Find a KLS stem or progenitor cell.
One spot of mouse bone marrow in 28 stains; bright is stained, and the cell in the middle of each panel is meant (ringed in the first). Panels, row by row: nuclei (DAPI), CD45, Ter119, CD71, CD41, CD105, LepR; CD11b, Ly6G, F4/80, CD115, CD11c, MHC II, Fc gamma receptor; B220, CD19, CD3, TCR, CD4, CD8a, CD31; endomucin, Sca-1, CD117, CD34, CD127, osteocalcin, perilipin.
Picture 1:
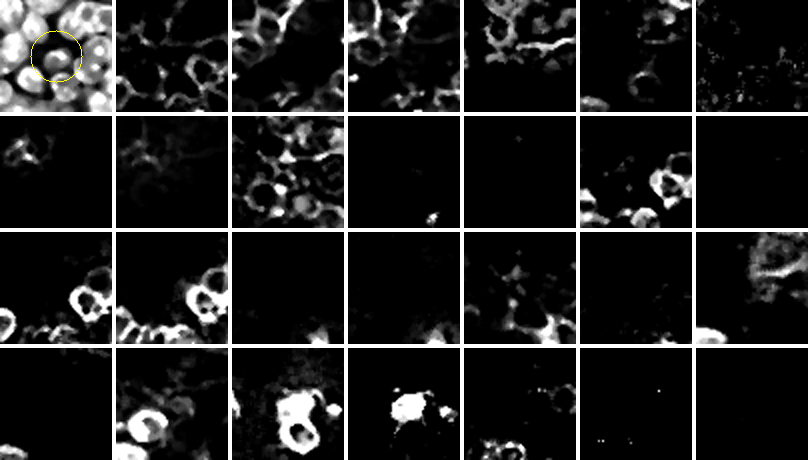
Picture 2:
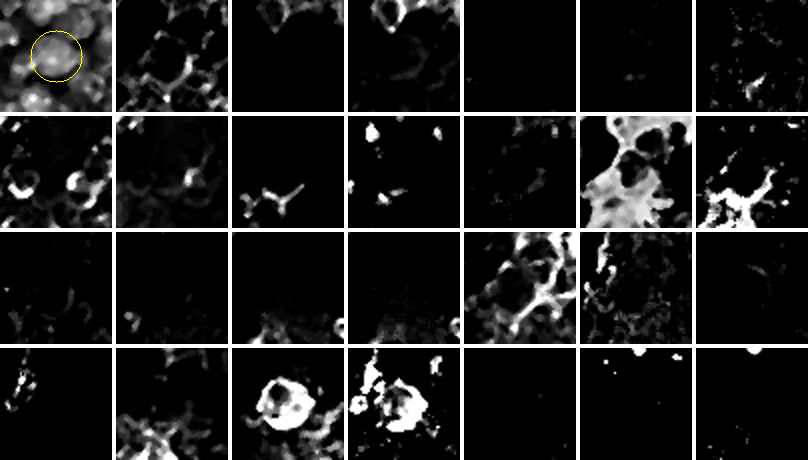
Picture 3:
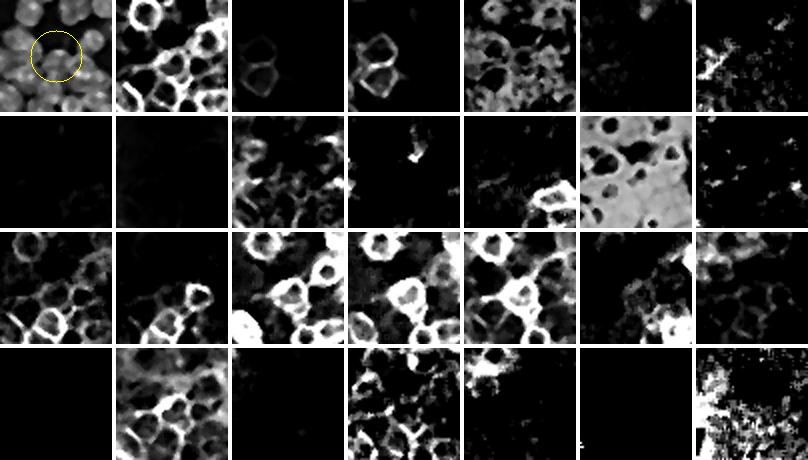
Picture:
1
